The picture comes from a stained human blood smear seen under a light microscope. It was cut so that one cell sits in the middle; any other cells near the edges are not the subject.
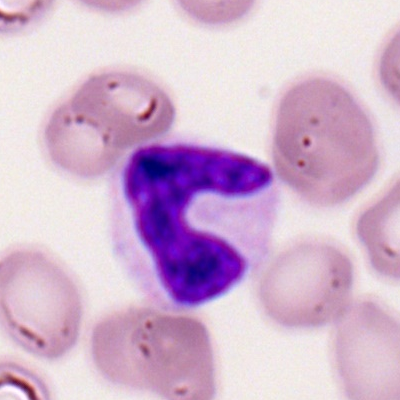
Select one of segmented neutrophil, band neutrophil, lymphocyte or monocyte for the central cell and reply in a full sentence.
Within this crop, a band neutrophil occupies the central position.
